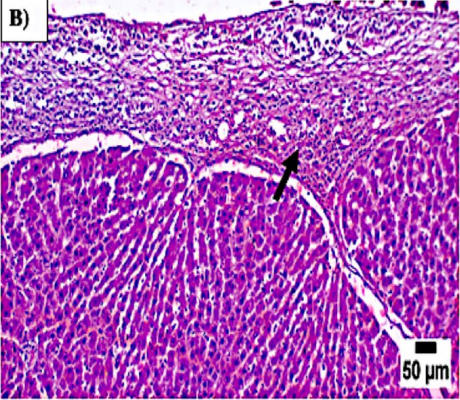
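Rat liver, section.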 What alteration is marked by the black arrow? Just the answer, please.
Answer: inflammatory cells infiltration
